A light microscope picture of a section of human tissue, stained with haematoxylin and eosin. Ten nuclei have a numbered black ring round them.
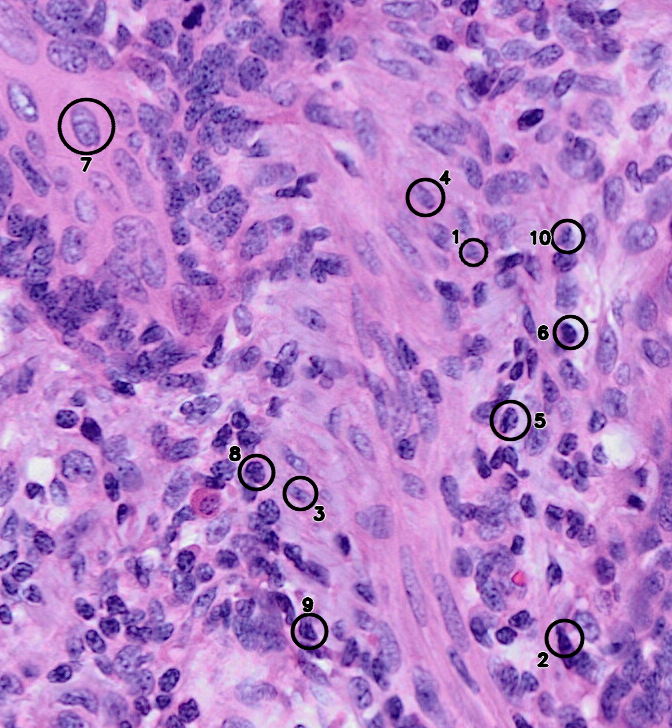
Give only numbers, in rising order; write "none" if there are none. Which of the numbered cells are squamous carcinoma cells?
7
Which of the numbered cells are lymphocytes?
2, 5, 6, 8, 9, 10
